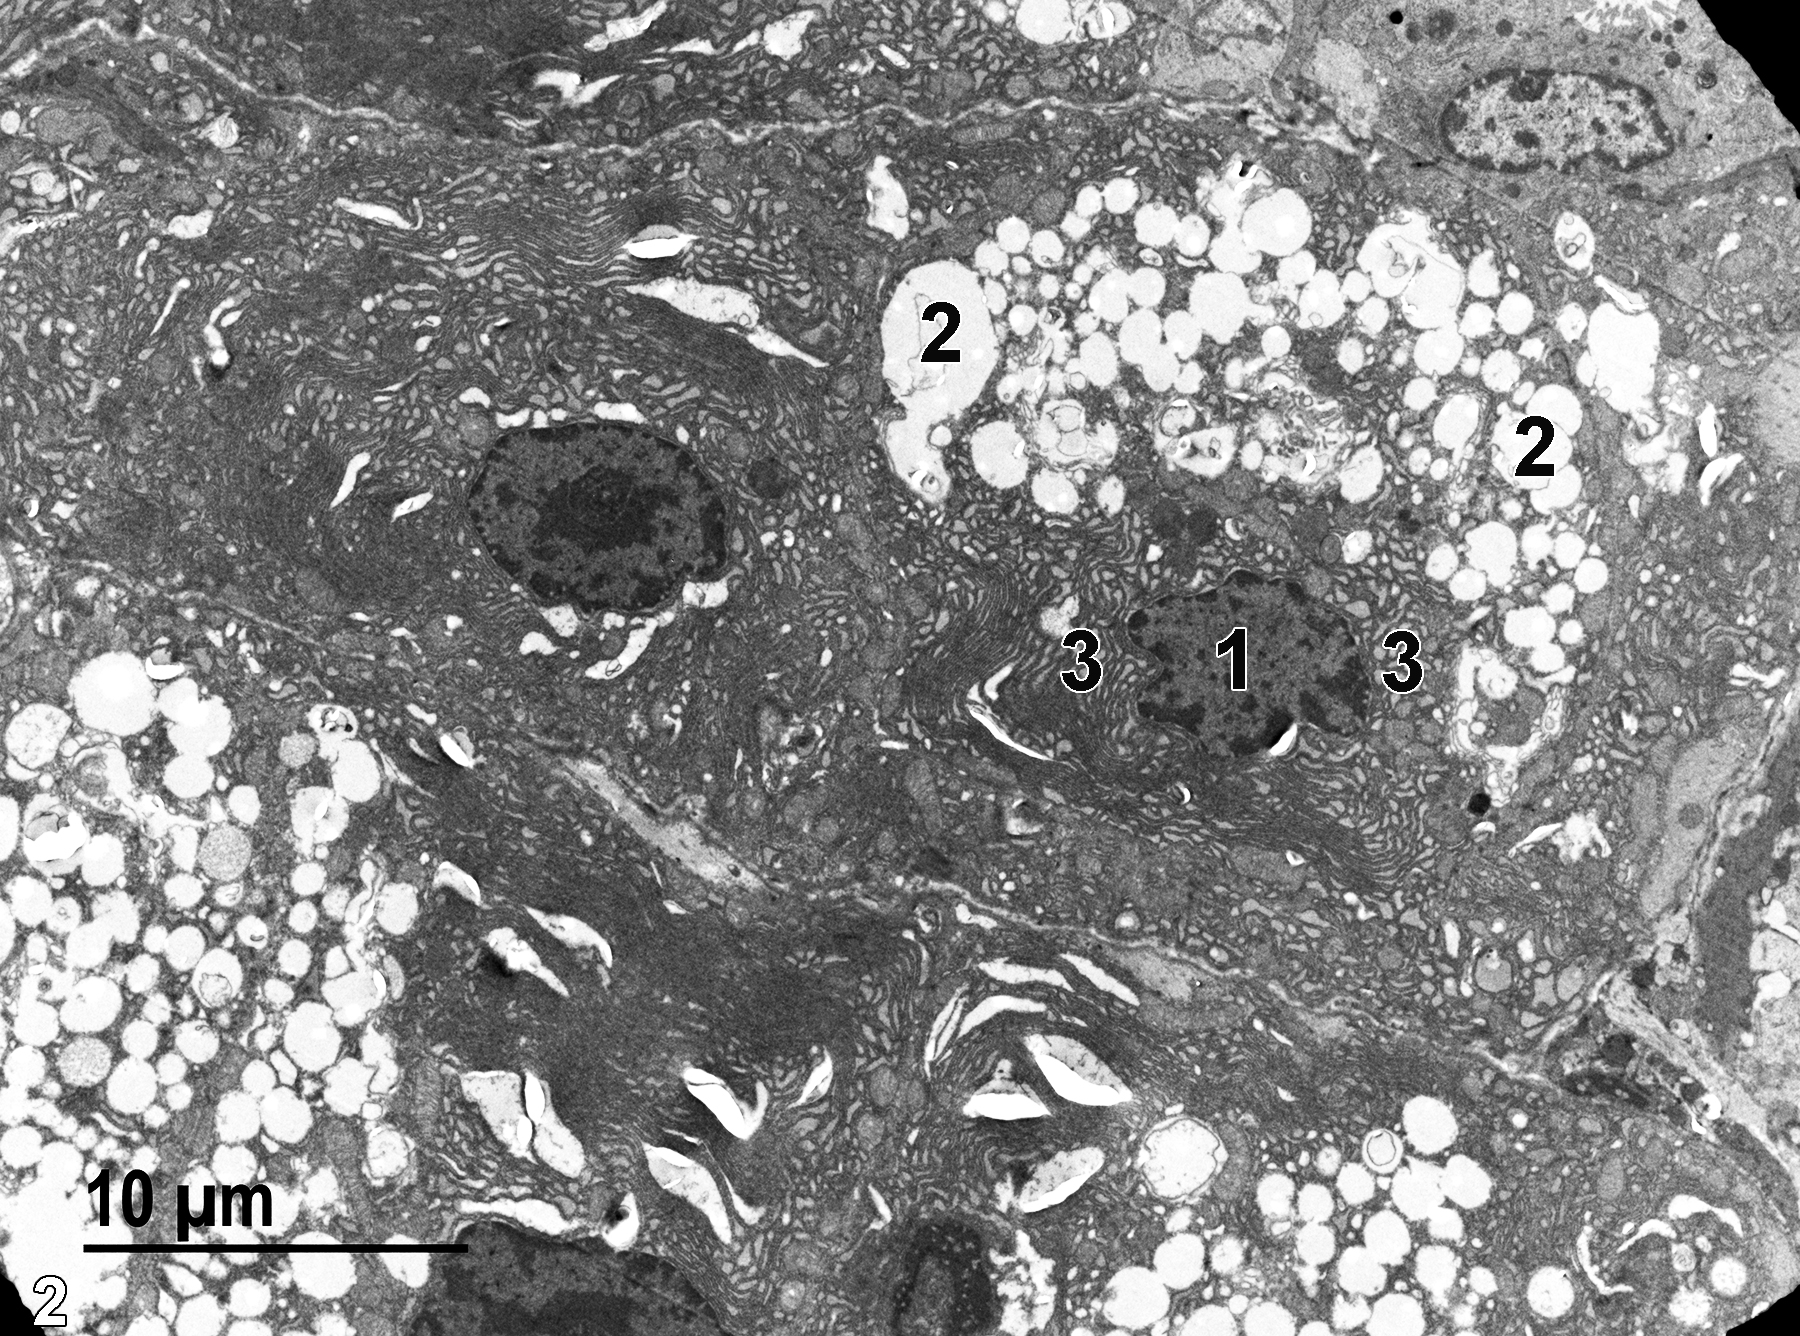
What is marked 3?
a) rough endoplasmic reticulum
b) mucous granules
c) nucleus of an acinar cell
a) rough endoplasmic reticulum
